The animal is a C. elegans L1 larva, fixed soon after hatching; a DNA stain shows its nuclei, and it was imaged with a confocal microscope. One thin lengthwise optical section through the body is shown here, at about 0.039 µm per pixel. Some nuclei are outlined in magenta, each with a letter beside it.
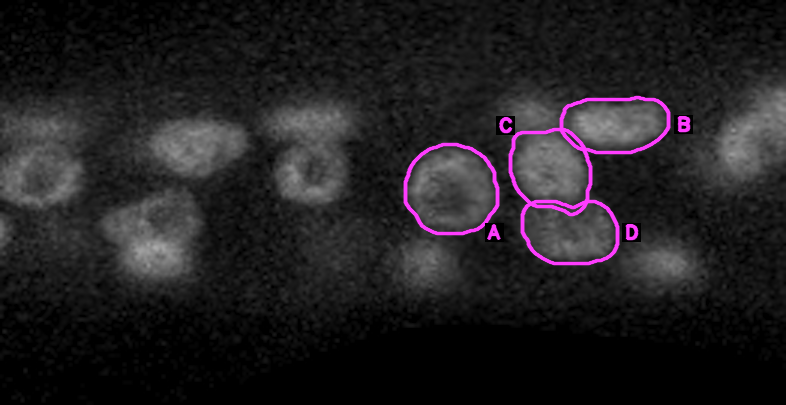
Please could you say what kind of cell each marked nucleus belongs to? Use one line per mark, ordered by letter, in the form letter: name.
A: M mesoblast
B: P cell (ventral epidermal blast cell)
C: Q neuroblast
D: hypodermal cell (hyp)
